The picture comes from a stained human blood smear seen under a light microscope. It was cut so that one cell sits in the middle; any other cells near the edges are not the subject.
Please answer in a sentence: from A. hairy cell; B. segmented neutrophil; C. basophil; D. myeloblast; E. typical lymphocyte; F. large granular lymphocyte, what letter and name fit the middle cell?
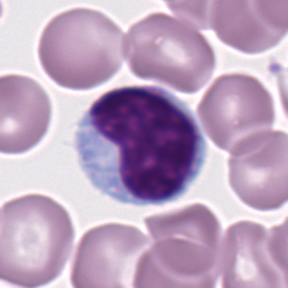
The correct choice is option E, which identifies the middle cell as a typical lymphocyte.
